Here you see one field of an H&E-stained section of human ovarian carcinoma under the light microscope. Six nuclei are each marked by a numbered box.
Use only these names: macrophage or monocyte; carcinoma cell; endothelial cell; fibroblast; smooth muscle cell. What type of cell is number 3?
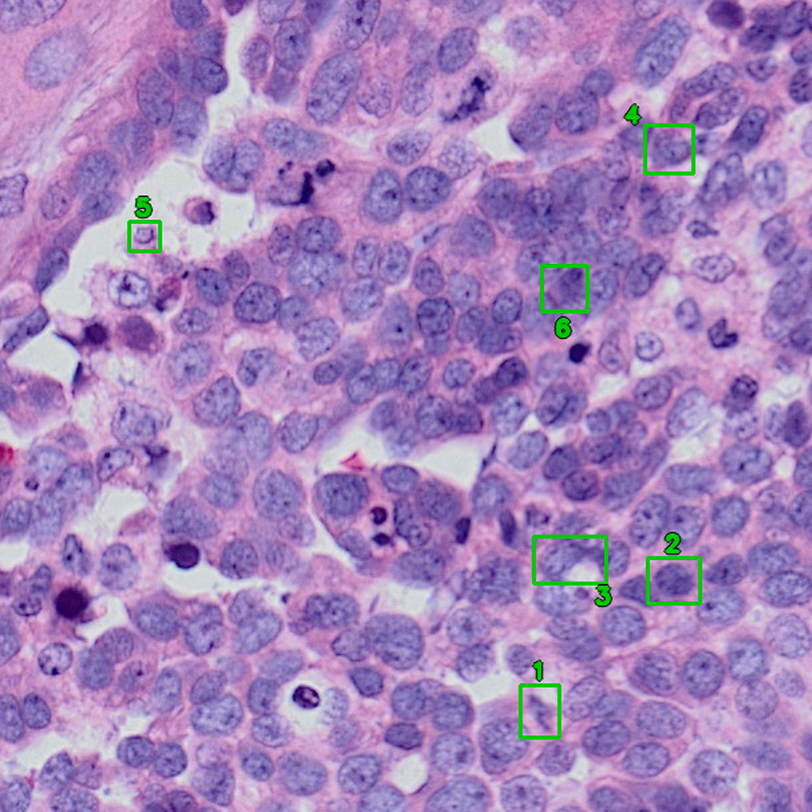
carcinoma cell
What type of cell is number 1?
macrophage or monocyte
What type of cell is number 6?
carcinoma cell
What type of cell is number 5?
macrophage or monocyte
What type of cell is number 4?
carcinoma cell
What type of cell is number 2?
carcinoma cell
